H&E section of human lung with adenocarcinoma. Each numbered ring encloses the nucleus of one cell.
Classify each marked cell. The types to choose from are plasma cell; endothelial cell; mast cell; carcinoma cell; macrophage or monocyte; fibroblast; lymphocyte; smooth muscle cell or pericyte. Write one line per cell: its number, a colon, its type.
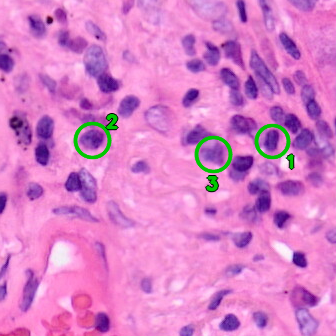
1: lymphocyte
2: plasma cell
3: lymphocyte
